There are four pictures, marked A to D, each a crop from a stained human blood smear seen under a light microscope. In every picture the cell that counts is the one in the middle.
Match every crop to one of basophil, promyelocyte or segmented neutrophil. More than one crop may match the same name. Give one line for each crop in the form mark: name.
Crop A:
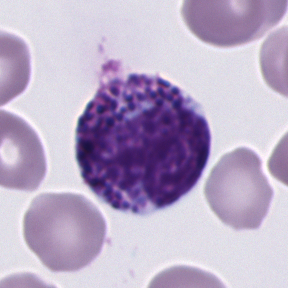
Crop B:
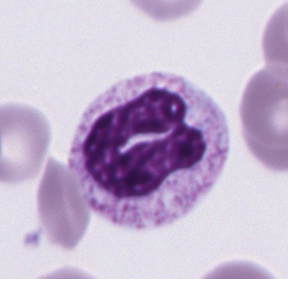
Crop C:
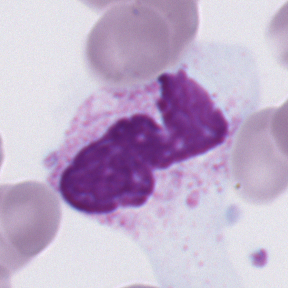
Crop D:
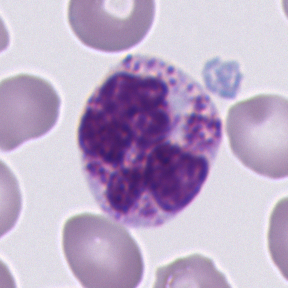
A: basophil
B: segmented neutrophil
C: segmented neutrophil
D: basophil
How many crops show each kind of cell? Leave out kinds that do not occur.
basophil: 2
segmented neutrophil: 2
